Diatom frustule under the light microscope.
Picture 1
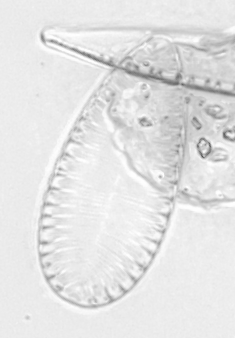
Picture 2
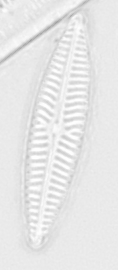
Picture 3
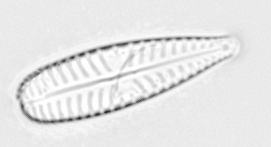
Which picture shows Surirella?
Picture 1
